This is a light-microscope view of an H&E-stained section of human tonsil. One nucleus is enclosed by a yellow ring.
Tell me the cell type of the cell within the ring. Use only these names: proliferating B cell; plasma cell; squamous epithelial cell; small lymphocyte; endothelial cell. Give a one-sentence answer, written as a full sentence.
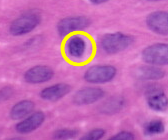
For cell typing purposes, the cell within the ring is a squamous epithelial cell.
